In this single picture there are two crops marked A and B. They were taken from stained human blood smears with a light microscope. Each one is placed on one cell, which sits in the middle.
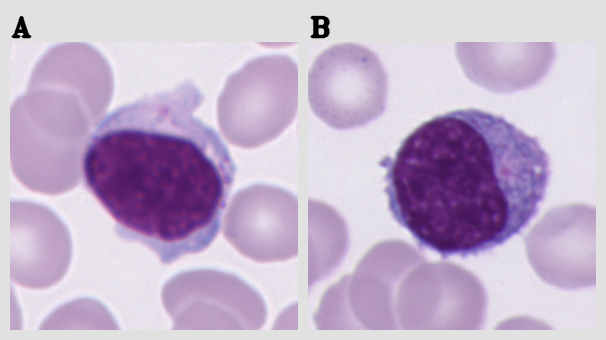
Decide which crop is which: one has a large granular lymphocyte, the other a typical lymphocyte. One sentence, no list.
Crop A displays a large granular lymphocyte, and crop B displays a typical lymphocyte.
